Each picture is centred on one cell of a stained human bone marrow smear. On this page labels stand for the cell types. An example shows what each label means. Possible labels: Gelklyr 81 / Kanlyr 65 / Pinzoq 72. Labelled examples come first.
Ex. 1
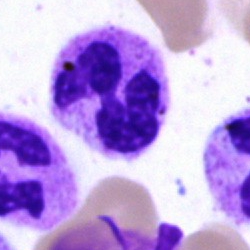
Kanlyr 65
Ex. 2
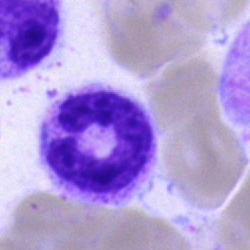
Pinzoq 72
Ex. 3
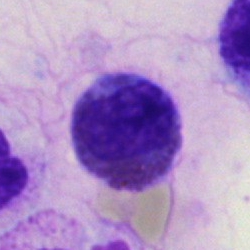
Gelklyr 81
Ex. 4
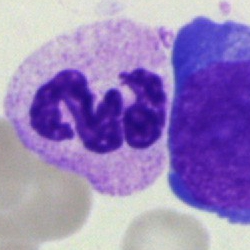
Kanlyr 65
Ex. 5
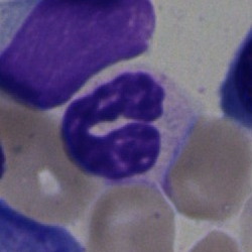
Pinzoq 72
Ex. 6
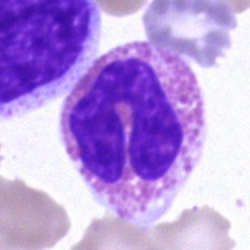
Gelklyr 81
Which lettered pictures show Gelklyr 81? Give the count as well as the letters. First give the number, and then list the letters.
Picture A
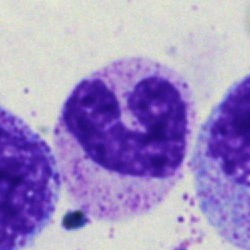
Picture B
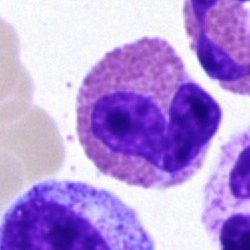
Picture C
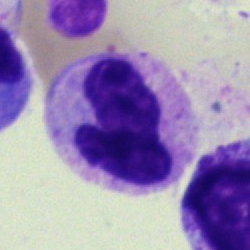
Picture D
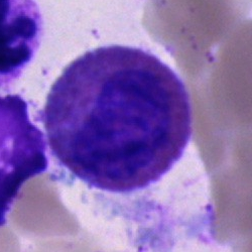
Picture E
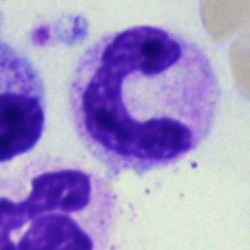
2: B, D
